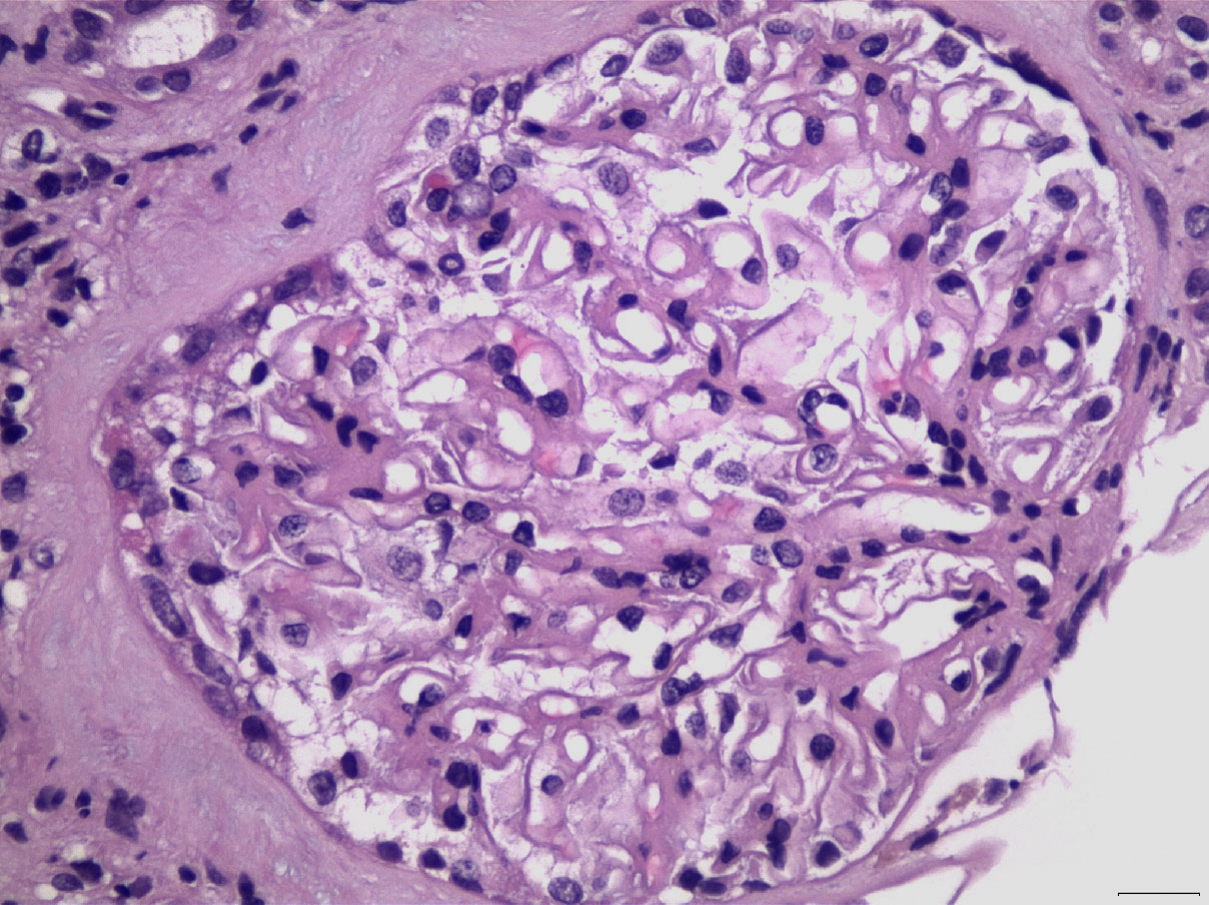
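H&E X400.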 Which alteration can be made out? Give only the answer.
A: Glomerular capillary wall thickening.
